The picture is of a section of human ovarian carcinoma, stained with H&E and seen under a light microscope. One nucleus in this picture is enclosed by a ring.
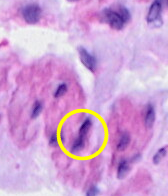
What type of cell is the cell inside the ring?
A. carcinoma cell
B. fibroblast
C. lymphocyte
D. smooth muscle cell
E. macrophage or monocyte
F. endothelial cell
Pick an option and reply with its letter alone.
D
